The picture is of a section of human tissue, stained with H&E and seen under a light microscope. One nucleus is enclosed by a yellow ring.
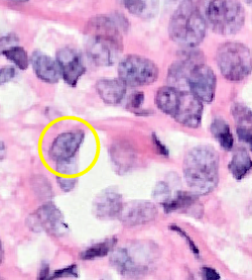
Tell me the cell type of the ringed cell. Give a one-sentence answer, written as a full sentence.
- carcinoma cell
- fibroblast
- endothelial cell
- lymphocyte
Just put down that the ringed cell is a carcinoma cell.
